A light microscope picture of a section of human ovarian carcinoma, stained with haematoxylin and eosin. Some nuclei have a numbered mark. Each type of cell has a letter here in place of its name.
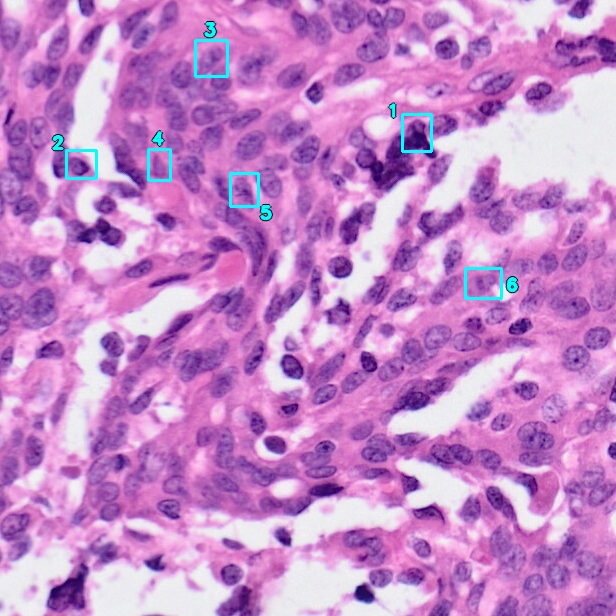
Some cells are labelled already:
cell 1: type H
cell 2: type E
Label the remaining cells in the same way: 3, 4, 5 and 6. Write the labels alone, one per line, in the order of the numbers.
type H
type H
type E
type H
